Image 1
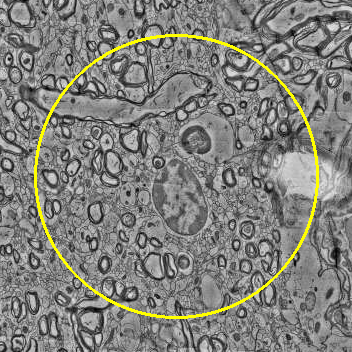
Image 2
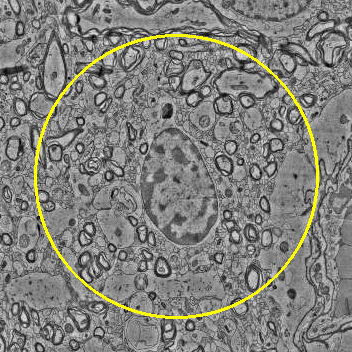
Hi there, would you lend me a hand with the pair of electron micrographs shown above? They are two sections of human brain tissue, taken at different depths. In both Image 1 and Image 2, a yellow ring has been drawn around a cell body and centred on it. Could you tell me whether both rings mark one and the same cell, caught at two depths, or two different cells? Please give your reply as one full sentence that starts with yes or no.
Yes, the two rings mark one cell and not separate cells.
